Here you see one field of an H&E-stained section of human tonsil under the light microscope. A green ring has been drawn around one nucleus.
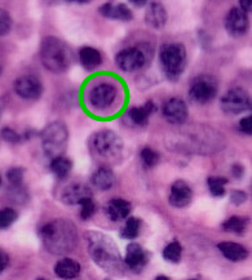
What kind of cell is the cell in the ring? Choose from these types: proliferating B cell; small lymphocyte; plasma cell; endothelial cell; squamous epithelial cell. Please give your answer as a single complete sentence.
In this section of tissue, the cell in the ring is a plasma cell.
